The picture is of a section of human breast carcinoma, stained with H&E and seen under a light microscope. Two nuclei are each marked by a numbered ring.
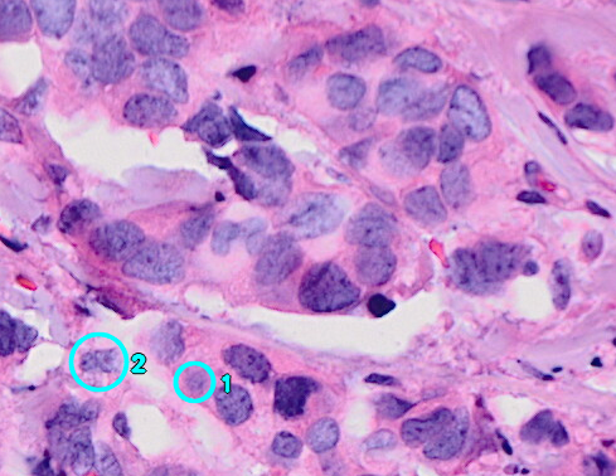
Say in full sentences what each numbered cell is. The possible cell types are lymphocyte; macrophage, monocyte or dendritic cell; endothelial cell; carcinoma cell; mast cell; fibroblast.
Cell 1 is a carcinoma cell and cell 2 is a macrophage, monocyte or dendritic cell.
